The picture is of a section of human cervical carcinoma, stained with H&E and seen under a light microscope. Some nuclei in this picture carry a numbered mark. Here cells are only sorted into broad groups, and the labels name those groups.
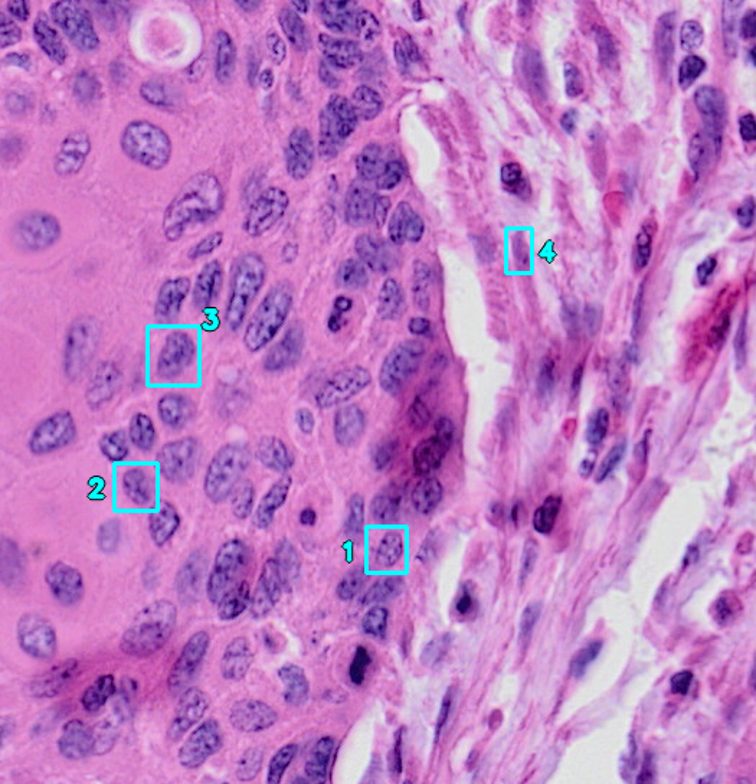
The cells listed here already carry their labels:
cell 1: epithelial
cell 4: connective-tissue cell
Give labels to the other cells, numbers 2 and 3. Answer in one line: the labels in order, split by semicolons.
epithelial; epithelial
